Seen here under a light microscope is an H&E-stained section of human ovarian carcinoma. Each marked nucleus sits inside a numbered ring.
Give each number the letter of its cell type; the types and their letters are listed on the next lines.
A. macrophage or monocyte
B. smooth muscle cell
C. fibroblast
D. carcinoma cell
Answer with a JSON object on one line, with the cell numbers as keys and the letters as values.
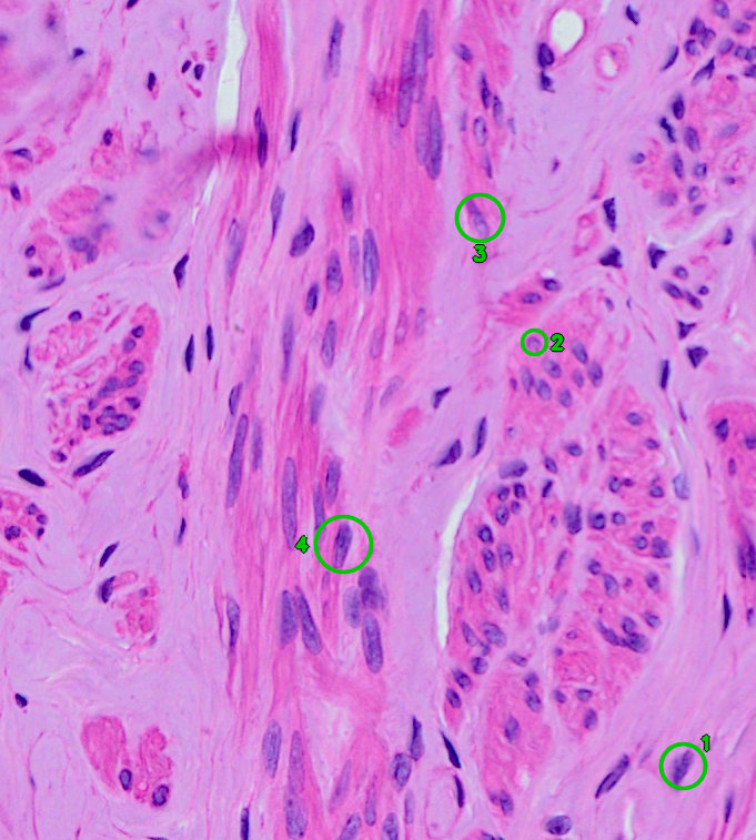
{"1": "C", "2": "B", "3": "B", "4": "B"}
